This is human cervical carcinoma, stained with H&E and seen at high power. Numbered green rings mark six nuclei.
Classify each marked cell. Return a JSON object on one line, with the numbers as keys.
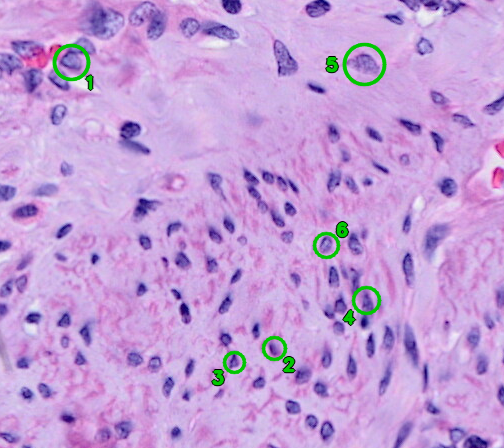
{"1": "endothelial cell", "2": "smooth muscle cell", "3": "smooth muscle cell", "4": "smooth muscle cell", "5": "fibroblast", "6": "smooth muscle cell"}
